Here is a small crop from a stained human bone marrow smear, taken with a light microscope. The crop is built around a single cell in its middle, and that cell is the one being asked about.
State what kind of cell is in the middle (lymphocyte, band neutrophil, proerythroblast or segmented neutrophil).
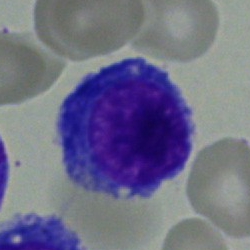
proerythroblast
